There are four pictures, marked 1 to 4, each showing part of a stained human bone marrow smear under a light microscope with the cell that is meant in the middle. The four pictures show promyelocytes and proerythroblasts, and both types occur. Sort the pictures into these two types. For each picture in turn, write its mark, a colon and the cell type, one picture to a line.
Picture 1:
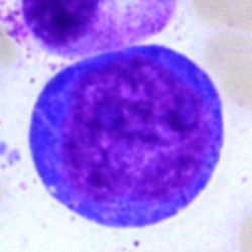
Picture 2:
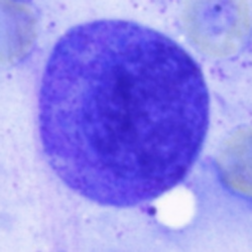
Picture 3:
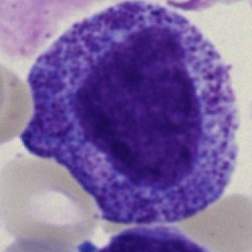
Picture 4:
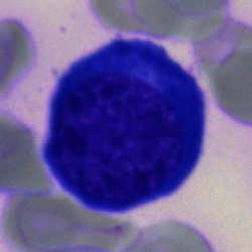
1: proerythroblast
2: promyelocyte
3: promyelocyte
4: proerythroblast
